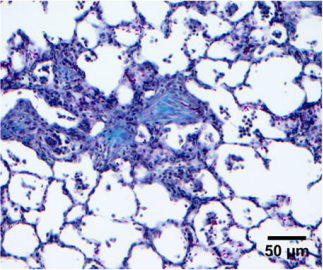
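Among open, thin-walled alveoli lie irregular cellular masses crowded with dark purple nuclei, and within them run wavy strands stained blue-green. These are intra-alveolar buds of granulation tissue, Masson bodies, in which collagen fibers are laid down among spindle-shaped cells.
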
